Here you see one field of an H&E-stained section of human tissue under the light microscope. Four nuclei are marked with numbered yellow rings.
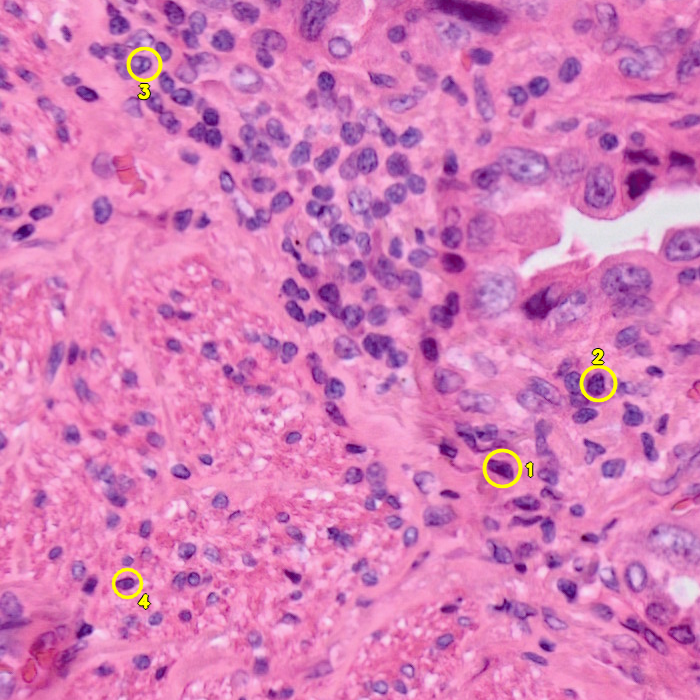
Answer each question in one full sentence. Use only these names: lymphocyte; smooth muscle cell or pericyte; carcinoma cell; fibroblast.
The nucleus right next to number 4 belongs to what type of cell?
Number 4 lies closest to the nucleus of a smooth muscle cell or pericyte.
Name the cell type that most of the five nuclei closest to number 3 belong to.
Lymphocytes account for more than half of the five nuclei nearest to number 3.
